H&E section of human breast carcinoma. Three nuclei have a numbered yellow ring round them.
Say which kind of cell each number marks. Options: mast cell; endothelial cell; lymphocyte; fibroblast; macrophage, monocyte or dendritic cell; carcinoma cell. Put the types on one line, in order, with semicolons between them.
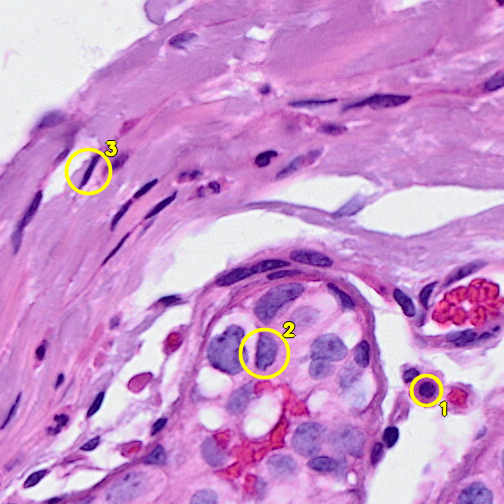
mast cell; carcinoma cell; fibroblast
